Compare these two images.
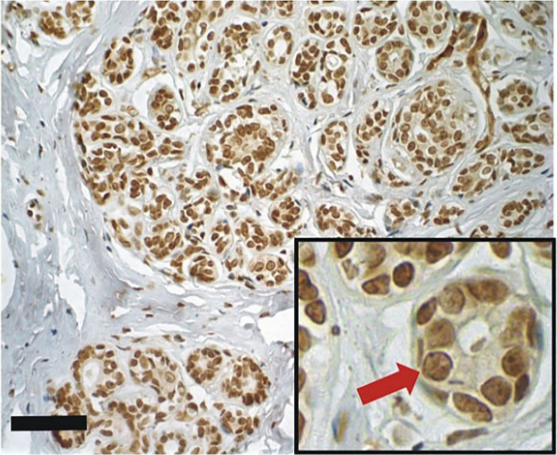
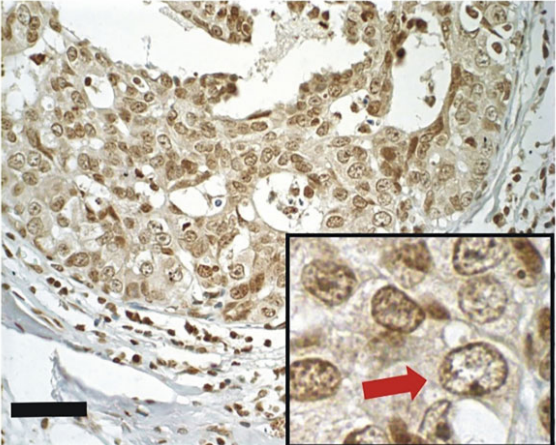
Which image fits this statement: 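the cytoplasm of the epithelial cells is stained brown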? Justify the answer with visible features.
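Second image: the cytoplasm of the large epithelial cells has a light brown tint around the nuclei. First image: nuclei are dark brown while the cytoplasm around them stays pale.
Hence: the second image.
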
